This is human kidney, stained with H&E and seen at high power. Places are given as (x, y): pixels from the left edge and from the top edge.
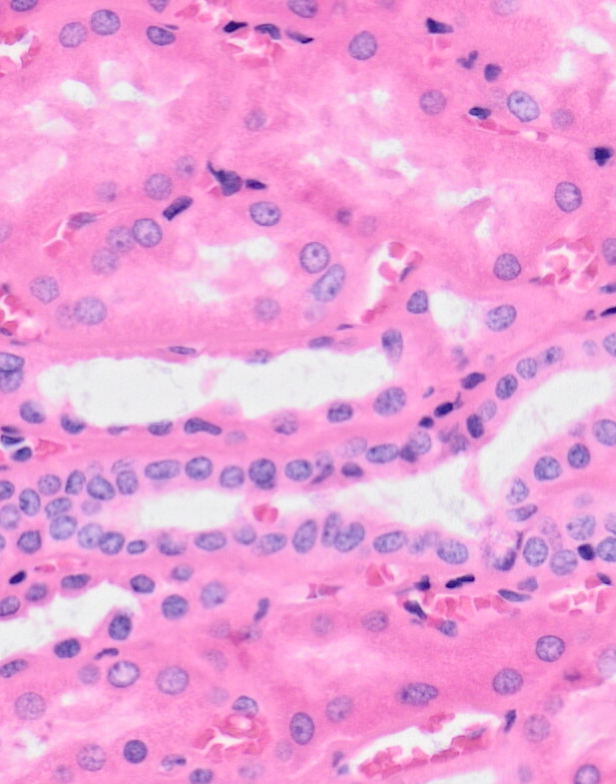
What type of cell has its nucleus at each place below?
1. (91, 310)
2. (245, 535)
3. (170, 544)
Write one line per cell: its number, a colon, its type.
1: proximal tubule cell
2: collecting duct cell
3: collecting duct cell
